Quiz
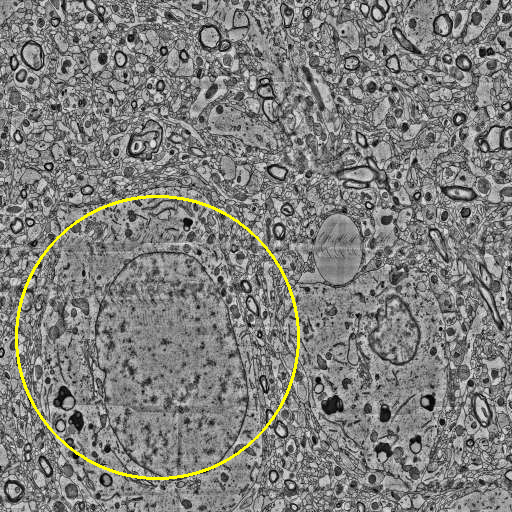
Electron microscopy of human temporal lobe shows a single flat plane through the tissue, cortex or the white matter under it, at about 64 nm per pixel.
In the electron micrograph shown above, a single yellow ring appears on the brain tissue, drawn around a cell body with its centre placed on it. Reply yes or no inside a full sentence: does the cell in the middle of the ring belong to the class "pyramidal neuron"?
Yes, the cell at the centre of the ring in the picture belongs to that class.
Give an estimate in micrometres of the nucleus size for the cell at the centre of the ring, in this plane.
Clearly longer than it is wide in this plane, the nucleus measures roughly 15 by 10 micrometres.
